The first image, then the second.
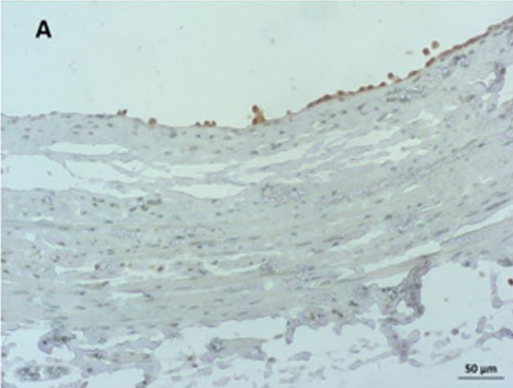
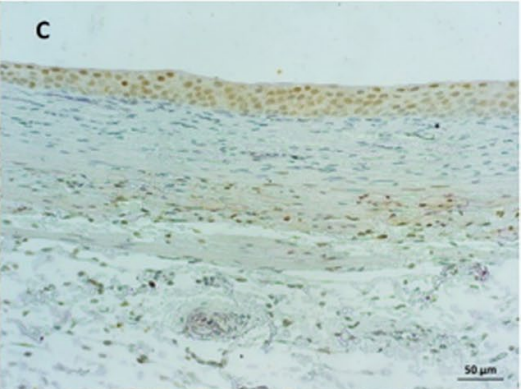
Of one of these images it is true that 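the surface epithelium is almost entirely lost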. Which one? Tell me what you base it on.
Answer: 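The first image. Second image: a continuous multilayered band of cells covers the surface.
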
